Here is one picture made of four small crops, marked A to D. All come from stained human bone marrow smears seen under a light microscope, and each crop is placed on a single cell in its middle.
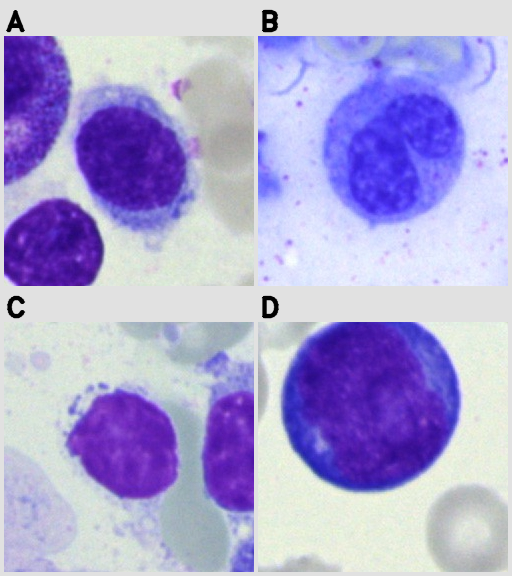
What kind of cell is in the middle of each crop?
A: hairy cell
B: band neutrophil
C: lymphocyte
D: proerythroblast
